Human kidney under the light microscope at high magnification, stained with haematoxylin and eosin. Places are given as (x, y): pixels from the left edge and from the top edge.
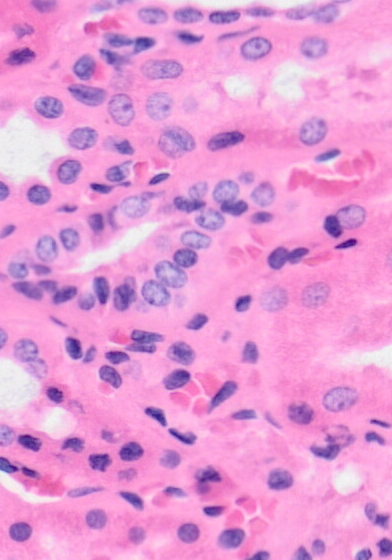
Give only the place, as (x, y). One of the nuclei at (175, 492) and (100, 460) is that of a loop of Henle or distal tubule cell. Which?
(100, 460)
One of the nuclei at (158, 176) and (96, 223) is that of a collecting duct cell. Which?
(96, 223)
